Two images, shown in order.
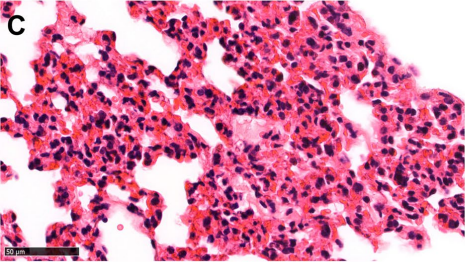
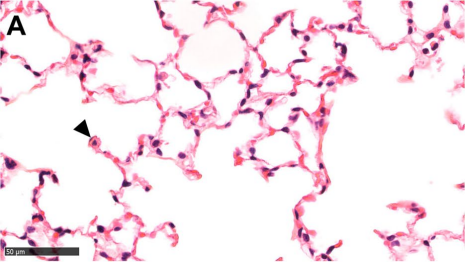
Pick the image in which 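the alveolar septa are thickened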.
the first image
